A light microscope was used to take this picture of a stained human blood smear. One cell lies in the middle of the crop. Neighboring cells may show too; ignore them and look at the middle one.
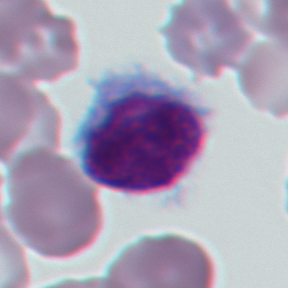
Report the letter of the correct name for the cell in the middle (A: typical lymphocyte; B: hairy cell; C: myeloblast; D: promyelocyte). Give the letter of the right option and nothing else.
B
